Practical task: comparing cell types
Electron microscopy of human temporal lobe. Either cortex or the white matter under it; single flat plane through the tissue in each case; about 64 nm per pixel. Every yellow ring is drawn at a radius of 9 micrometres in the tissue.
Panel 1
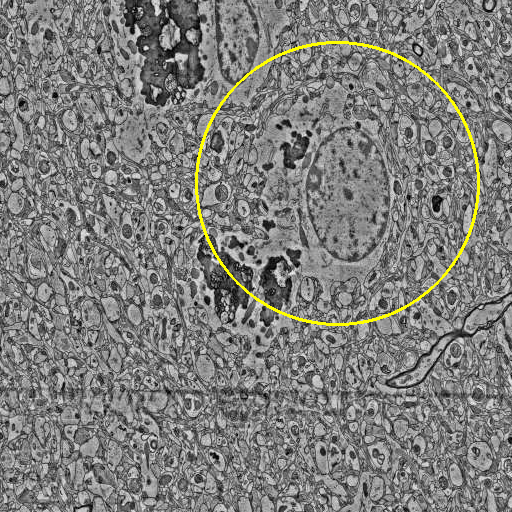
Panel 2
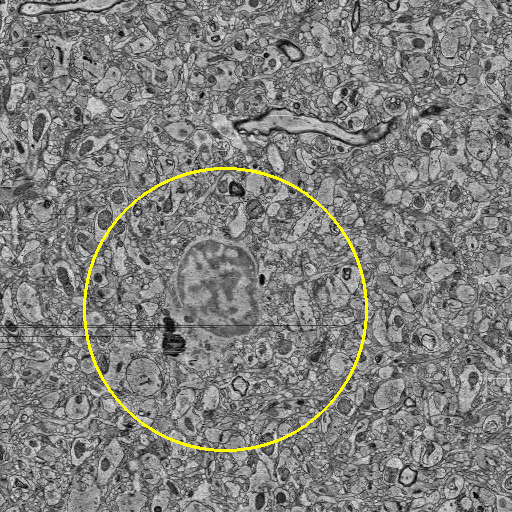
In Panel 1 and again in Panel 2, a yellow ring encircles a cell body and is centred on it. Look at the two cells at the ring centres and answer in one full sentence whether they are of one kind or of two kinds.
The two cells sitting at the ring centres of Panels 1 and 2 are of two kinds.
